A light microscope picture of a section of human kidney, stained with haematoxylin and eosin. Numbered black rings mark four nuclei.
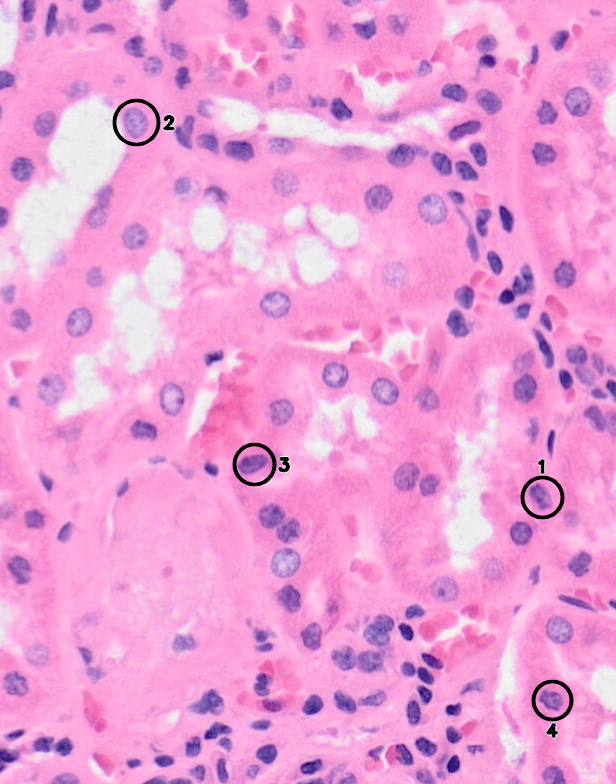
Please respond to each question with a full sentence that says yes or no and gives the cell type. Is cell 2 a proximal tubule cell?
No, cell 2 has been misnamed; it is a loop of Henle or distal tubule cell, not a proximal tubule cell.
